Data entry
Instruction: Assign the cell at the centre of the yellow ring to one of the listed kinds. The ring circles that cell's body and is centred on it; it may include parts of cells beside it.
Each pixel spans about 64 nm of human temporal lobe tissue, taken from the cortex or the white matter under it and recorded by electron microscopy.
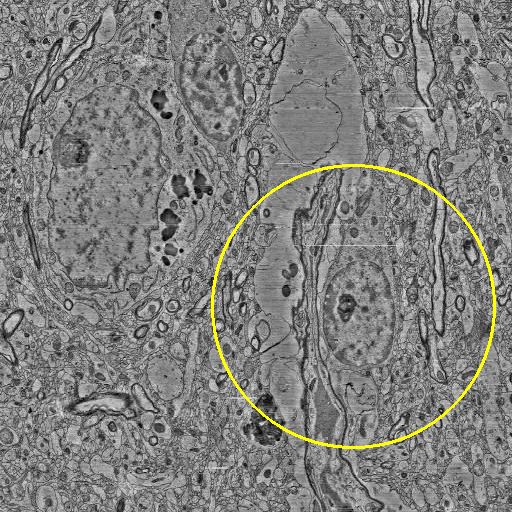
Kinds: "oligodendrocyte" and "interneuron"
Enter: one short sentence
The centre of the ring falls on an oligodendrocyte.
